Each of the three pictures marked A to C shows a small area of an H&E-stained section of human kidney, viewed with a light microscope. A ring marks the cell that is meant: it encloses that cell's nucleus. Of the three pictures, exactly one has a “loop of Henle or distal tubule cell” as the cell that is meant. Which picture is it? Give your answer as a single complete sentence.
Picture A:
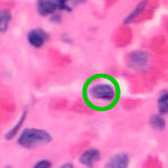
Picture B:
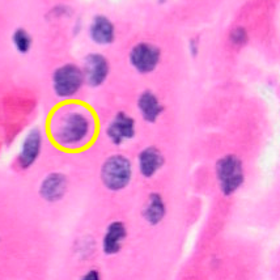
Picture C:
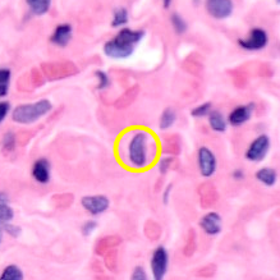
It is picture B that shows the “loop of Henle or distal tubule cell”.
